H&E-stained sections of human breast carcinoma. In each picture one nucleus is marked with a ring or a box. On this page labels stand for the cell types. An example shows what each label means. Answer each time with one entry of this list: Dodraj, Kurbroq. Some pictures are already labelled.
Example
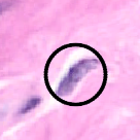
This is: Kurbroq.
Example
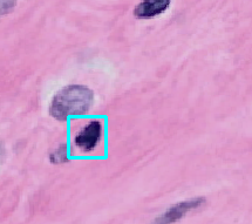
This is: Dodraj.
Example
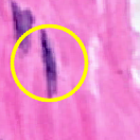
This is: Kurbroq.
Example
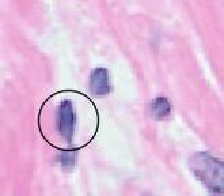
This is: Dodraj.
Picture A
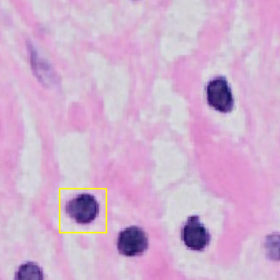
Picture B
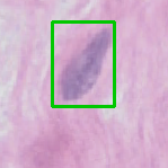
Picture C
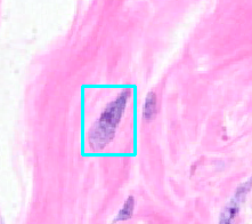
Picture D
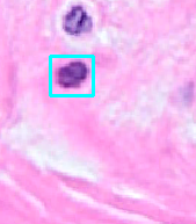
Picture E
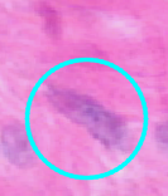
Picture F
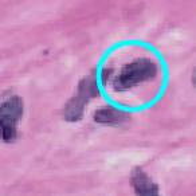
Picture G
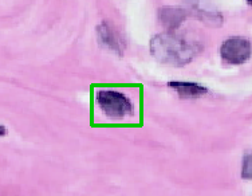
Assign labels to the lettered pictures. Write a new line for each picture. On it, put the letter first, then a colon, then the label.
A: Dodraj.
B: Kurbroq.
C: Kurbroq.
D: Dodraj.
E: Kurbroq.
F: Dodraj.
G: Dodraj.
